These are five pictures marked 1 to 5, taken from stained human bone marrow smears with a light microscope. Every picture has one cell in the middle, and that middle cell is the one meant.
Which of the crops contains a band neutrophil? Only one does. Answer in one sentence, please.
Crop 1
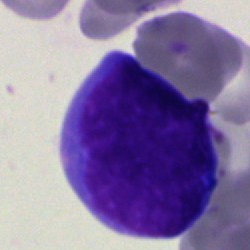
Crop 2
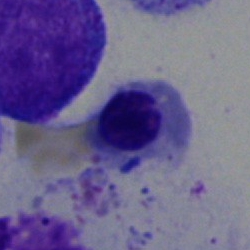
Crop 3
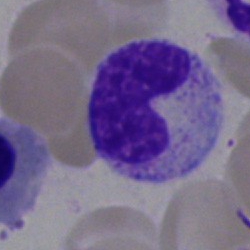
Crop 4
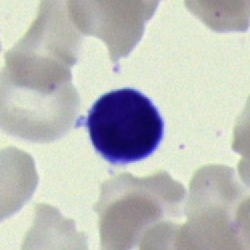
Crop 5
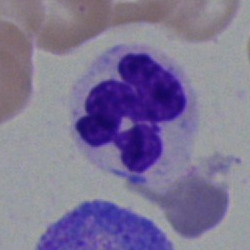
As for which crop shows a band neutrophil, it is crop 3.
